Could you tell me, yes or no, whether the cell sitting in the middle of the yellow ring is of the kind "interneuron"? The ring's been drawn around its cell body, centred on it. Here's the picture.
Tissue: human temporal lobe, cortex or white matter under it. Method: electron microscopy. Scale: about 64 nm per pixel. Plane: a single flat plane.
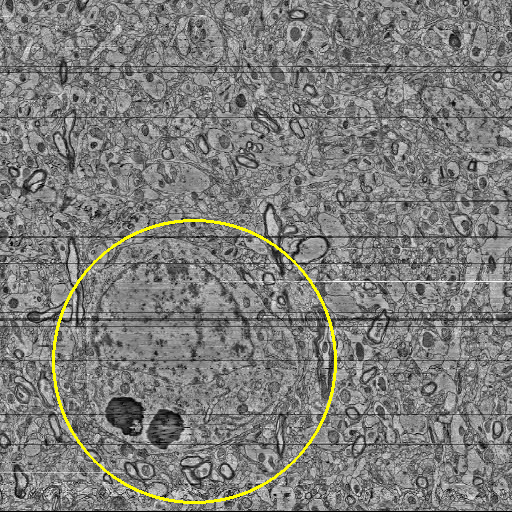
Yes, it is.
